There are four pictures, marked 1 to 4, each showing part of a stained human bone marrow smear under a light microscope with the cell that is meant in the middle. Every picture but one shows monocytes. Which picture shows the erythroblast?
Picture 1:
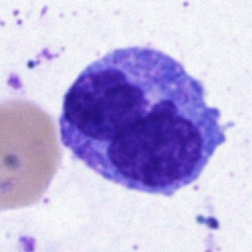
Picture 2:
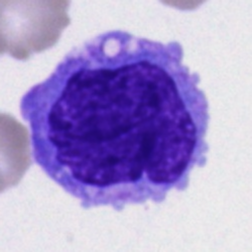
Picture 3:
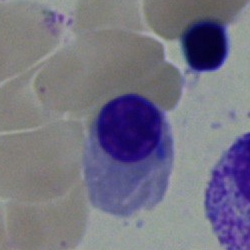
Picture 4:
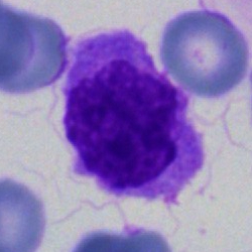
3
